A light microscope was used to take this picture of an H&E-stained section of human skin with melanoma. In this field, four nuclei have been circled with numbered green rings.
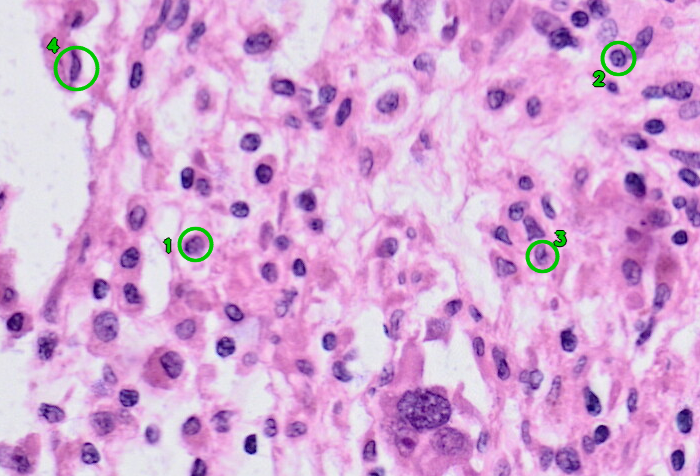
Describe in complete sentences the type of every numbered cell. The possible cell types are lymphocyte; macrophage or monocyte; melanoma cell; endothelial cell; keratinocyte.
Cells 1, 3 and 4 are macrophages or monocytes. Cell 2 is a lymphocyte.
